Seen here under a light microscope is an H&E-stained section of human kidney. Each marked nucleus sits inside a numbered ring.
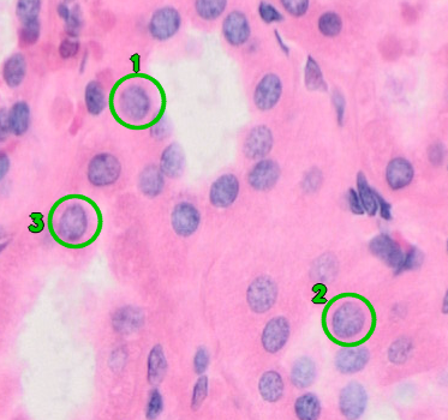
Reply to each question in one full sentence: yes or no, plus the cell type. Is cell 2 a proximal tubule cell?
No, the marker 2 sits on a loop of Henle or distal tubule cell, not on a proximal tubule cell.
